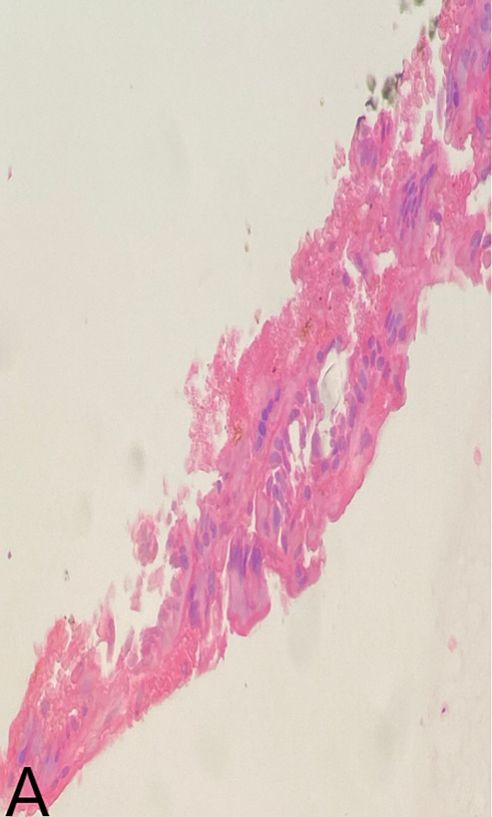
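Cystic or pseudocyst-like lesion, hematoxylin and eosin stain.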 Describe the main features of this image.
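A cohesive flap of regular columnar epithelium runs diagonally across a pale, clear background. The cells hold together in a strip and have pink cytoplasm. Their nuclei are purple, oval to elongated and fairly uniform in size, without marked crowding or irregularity. In places the cells are seen side-on as tall cells. Along the edges of the strip lies loose, granular pink material. A few small brownish specks are scattered within and near the fragment. Outside the flap the background holds almost no other cells.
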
